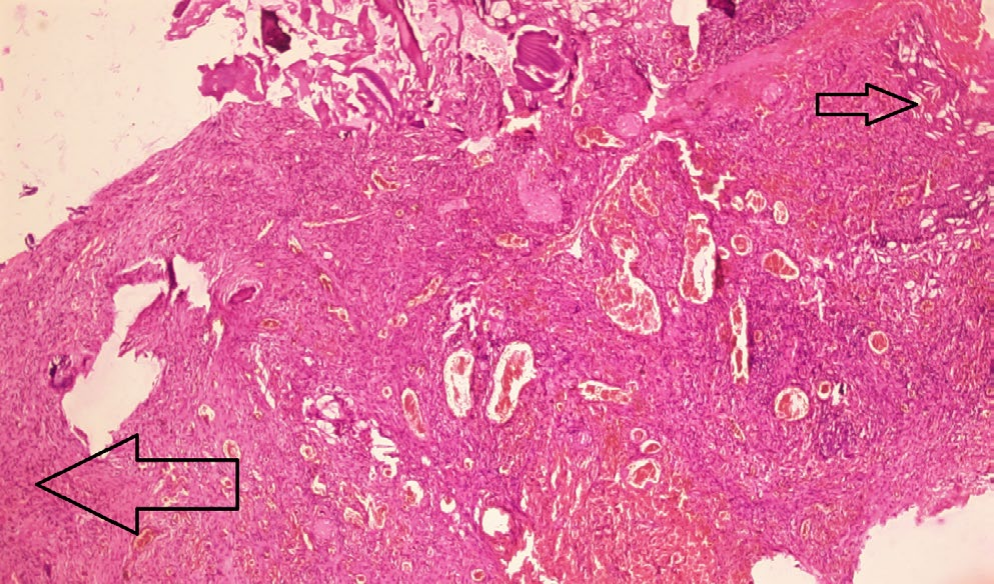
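At low power, this lesion is a densely cellular, pink-stained tissue with many small, dark nuclei crowded throughout, consistent with inflammatory cells. Numerous dilated vessels filled with red blood cells are scattered through it. Toward one edge there is a cluster of small, empty, needle-like slits, which are cholesterol clefts.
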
